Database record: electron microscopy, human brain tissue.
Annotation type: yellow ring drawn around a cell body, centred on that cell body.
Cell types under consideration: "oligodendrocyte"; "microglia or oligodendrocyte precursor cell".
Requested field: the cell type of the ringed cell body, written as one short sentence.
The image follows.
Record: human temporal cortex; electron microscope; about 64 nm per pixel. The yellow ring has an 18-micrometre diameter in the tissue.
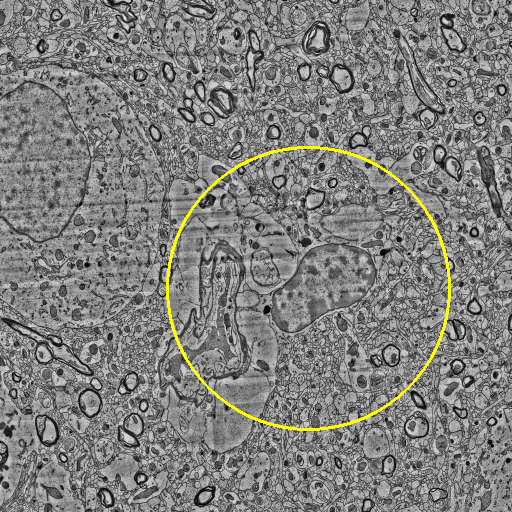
The ringed cell body represents a microglial cell or oligodendrocyte precursor cell.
